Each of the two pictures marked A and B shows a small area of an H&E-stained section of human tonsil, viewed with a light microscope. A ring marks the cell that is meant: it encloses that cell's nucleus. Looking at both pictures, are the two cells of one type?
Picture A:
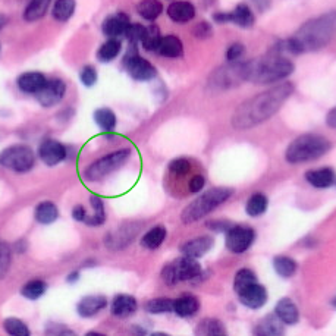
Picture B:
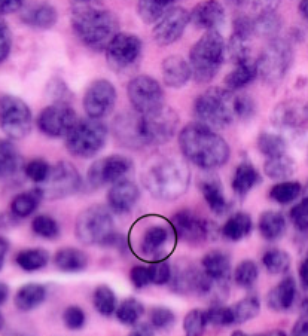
no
